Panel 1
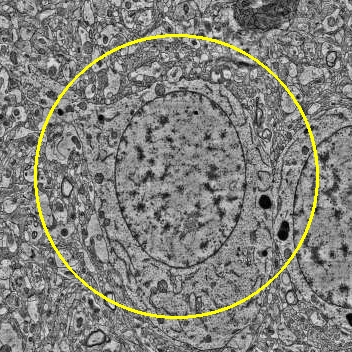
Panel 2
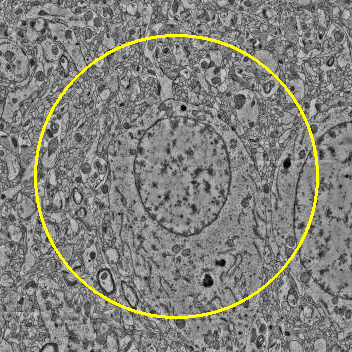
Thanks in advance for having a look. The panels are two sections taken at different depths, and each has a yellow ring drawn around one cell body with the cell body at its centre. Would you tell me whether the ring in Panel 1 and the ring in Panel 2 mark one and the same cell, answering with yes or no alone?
yes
